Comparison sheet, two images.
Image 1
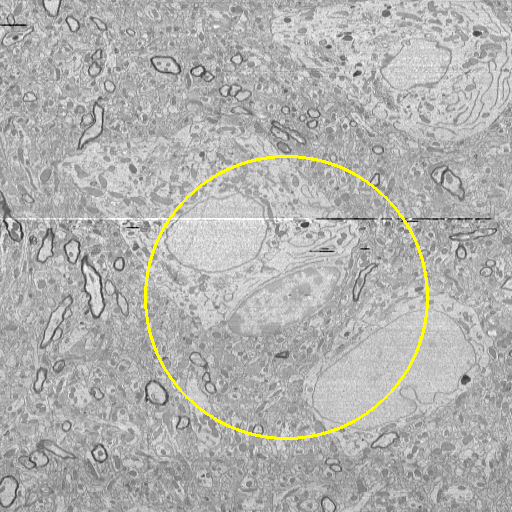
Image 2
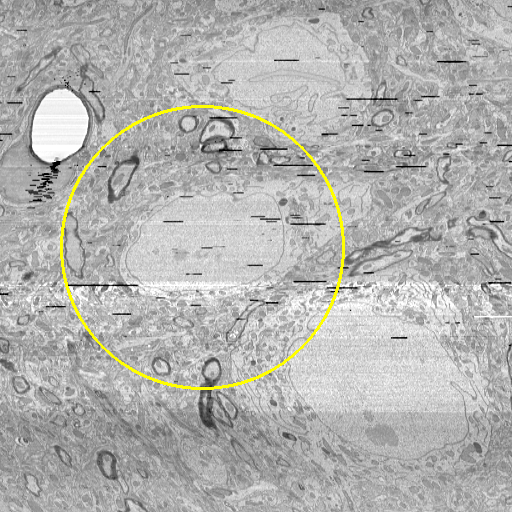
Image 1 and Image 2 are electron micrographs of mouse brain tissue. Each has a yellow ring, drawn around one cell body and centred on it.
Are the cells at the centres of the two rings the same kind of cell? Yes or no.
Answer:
no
